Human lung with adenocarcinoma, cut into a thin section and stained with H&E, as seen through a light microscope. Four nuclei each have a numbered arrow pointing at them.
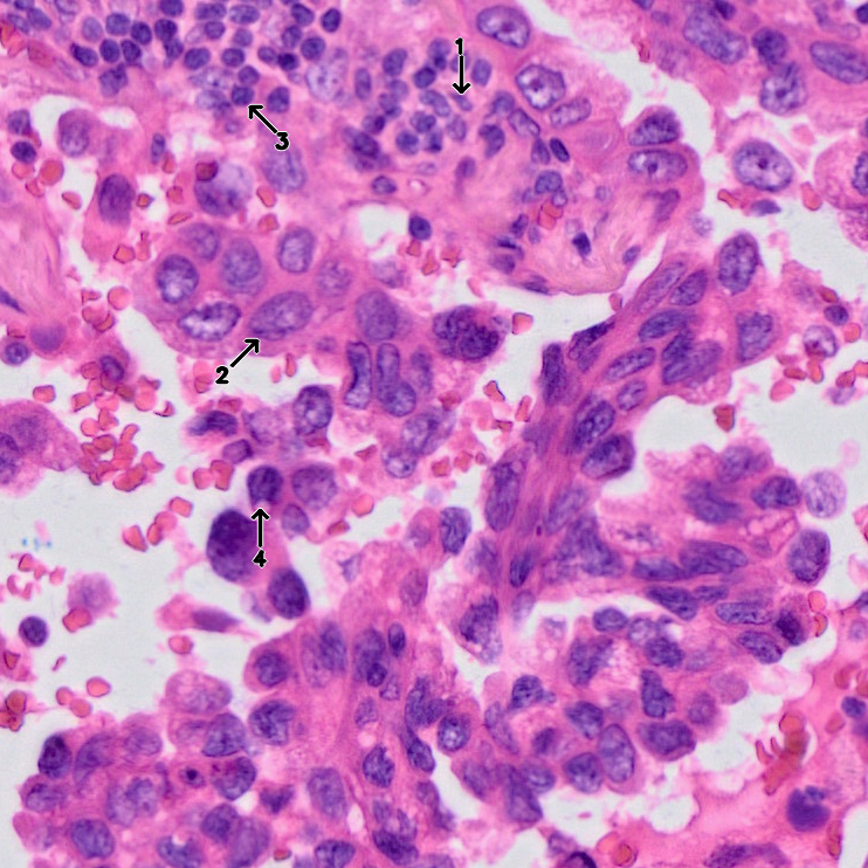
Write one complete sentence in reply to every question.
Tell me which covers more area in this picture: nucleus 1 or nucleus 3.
Nucleus 3 is larger, with an area about 1.5 times that of nucleus 1.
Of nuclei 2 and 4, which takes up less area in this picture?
Number 4 is smaller, since number 2 takes up about 1.5 times as much area.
